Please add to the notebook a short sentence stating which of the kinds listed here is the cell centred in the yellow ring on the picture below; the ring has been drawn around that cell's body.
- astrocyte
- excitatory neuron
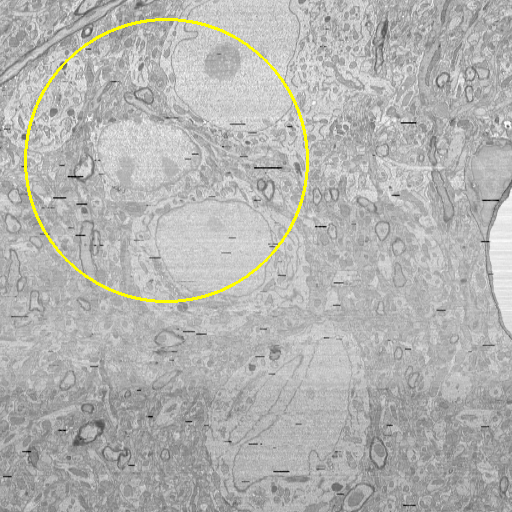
The cell centred in the yellow ring is an astrocyte.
